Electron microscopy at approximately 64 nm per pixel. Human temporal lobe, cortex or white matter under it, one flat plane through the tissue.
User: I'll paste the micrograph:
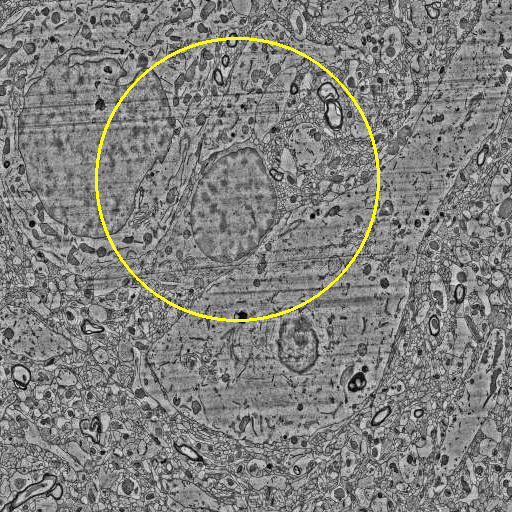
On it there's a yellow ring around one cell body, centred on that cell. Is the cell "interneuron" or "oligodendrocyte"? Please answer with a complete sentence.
The cell ringed in yellow is an oligodendrocyte.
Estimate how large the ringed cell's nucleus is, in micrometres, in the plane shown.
About 7 micrometres by about 5 micrometres in this plane.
